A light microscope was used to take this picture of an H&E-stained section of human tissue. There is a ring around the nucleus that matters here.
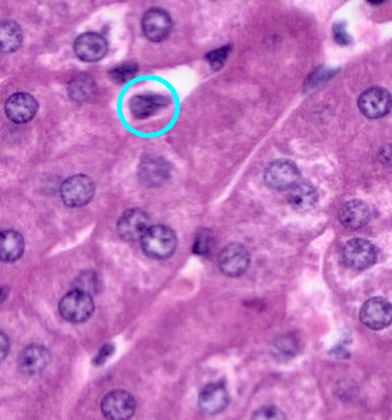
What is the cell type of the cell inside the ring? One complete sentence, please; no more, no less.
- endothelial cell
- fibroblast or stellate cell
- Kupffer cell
The classification of the cell inside the ring is as a Kupffer cell.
